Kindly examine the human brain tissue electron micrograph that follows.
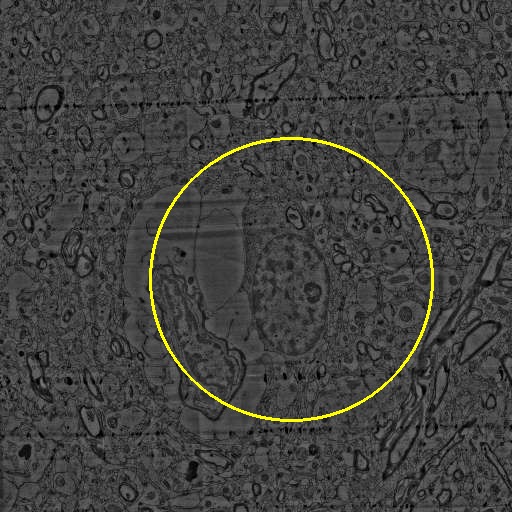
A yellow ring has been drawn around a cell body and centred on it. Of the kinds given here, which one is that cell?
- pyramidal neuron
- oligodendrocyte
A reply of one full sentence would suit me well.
The micrograph's ringed cell, the one at the ring's centre, is an oligodendrocyte.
